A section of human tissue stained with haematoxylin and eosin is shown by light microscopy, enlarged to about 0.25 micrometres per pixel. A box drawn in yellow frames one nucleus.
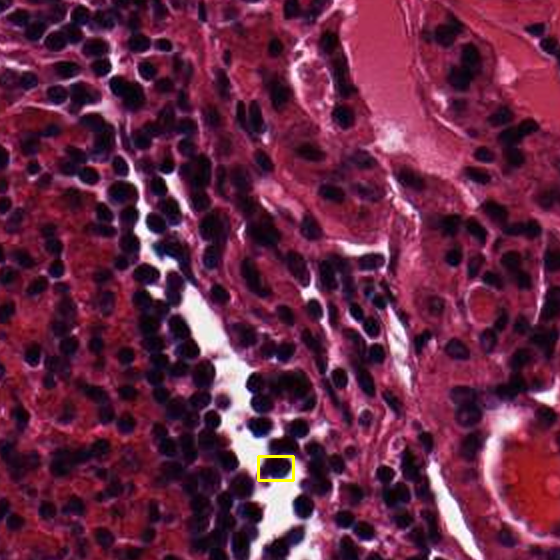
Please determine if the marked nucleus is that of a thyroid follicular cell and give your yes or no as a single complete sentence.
No, the marked nucleus belongs to a supporting cell, and a thyroid follicular cell is not its owner.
